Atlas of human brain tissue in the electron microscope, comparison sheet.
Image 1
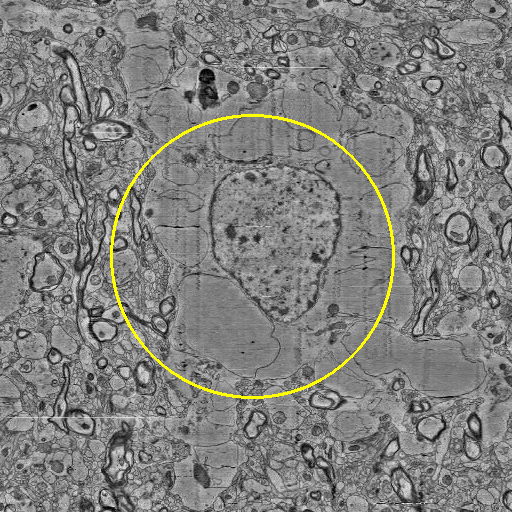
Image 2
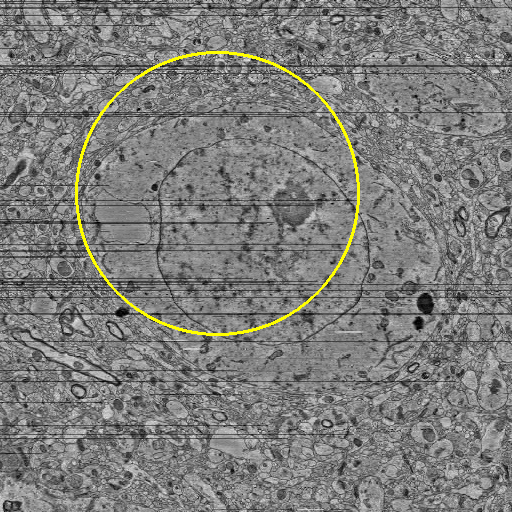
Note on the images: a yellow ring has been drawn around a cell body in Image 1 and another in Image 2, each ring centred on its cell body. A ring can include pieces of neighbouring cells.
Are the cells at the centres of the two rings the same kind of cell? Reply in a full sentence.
No, the two cells are of two kinds.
